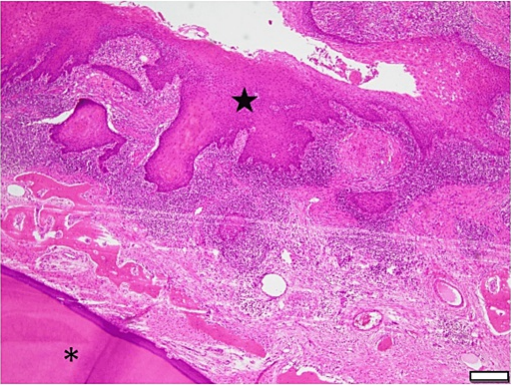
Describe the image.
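This section shows a tumor invading near bone and tooth. In the upper half, irregular nests and tongue-like projections of dense pink epithelial tissue extend into the stroma, surrounded by a dense band of small, dark-staining cells. Below this lies looser pink connective tissue with fragments of bone and small blood vessels. At the lower left, a smooth-edged, homogeneous, acellular pink hard tissue marks the tooth, separated from the overlying soft tissue by a thin line. A pale empty cleft runs along the upper part of the section.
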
